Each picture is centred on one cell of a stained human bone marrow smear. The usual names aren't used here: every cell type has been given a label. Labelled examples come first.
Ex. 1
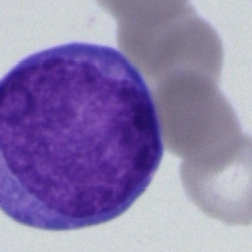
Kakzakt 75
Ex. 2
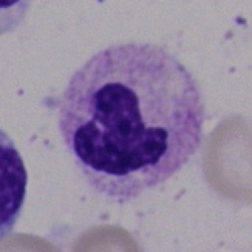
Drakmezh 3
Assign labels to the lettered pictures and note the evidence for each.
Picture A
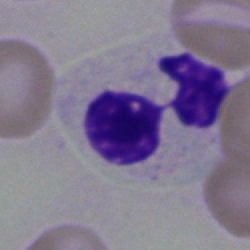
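Drakmezh 3. The cytoplasm is abundant and pale grey.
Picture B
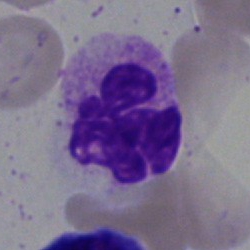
Drakmezh 3. The chromatin is dark purple and coarsely clumped.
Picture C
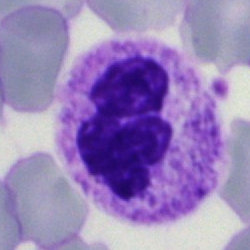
Drakmezh 3. Abundant pale pinkish-lilac cytoplasm surrounds the nucleus on all sides.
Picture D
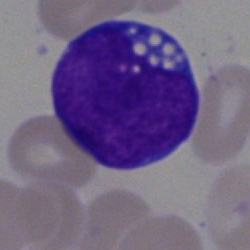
Kakzakt 75. The nucleus is large and fills most of the cell.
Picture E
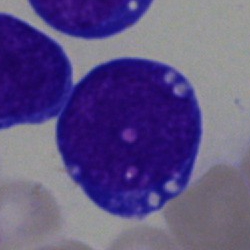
Kakzakt 75. The chromatin looks finely stippled rather than coarsely clumped.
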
